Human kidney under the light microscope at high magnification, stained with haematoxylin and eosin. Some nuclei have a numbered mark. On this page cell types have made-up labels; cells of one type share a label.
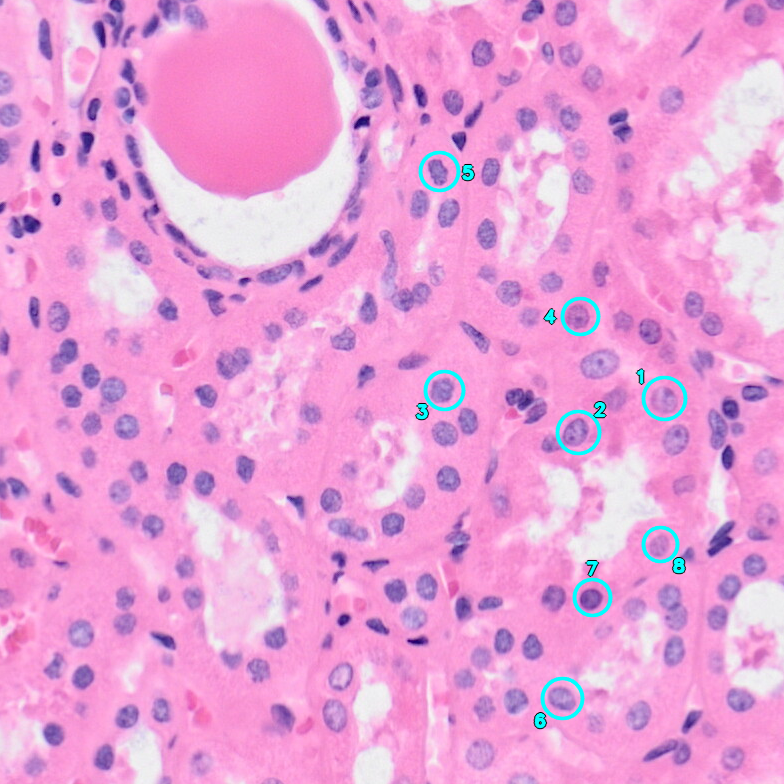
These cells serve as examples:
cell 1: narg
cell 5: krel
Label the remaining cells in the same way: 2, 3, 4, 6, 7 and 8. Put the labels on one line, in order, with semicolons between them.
narg; krel; narg; krel; narg; narg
